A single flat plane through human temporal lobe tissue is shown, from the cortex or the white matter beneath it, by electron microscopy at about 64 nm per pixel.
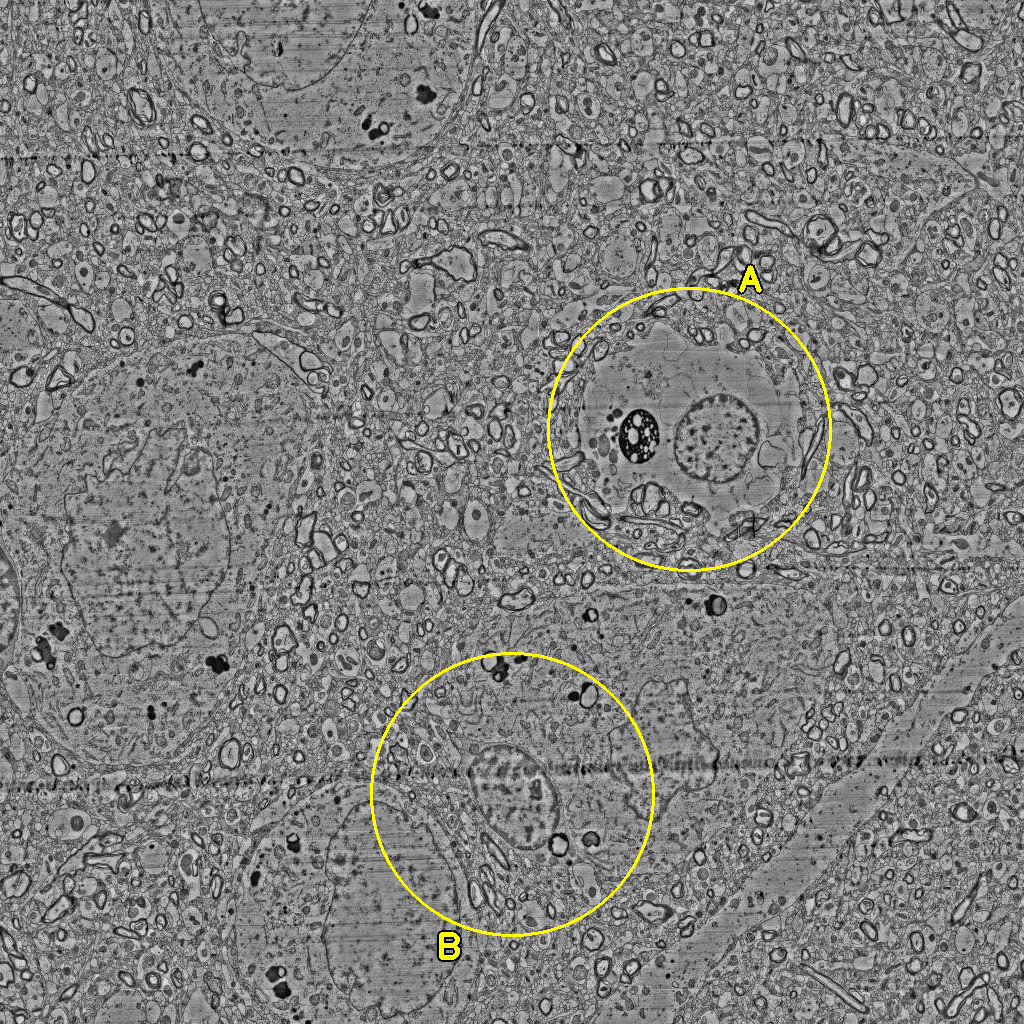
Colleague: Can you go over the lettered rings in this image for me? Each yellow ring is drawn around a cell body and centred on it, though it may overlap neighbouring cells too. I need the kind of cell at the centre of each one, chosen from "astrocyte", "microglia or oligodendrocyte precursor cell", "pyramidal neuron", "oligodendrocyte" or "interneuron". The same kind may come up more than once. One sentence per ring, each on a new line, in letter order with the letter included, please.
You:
Ring A marks the cell body of an astrocyte.
Ring B marks the cell body of an oligodendrocyte.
